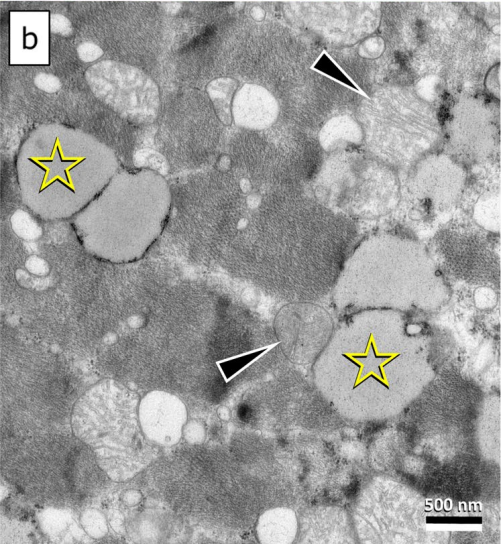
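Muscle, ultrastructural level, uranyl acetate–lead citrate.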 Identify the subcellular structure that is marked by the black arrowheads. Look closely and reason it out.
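Marked organelles are bounded by a double membrane. They lie near the grey homogeneous droplets. On this evidence: mitochondria.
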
